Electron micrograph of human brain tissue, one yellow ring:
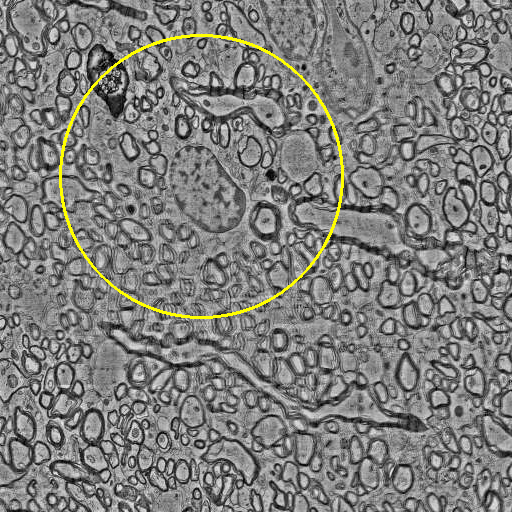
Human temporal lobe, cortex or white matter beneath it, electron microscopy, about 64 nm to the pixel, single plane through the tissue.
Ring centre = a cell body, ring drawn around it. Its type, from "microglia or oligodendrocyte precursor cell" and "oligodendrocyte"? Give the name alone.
microglia or oligodendrocyte precursor cell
